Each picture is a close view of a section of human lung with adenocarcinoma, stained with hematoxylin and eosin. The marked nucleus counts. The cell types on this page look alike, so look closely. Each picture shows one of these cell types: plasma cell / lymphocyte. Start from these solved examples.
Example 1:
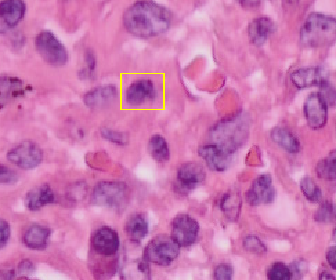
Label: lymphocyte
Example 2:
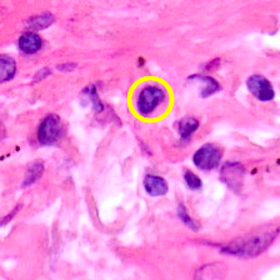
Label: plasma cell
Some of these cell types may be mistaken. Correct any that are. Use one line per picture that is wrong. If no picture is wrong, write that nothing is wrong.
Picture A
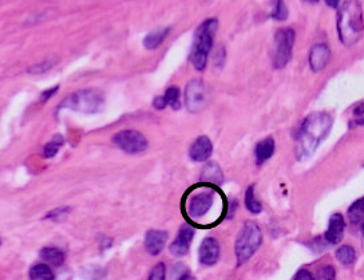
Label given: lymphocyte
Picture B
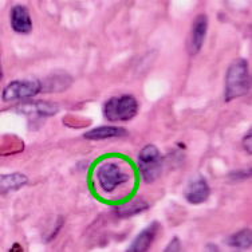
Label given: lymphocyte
All labels are correct.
